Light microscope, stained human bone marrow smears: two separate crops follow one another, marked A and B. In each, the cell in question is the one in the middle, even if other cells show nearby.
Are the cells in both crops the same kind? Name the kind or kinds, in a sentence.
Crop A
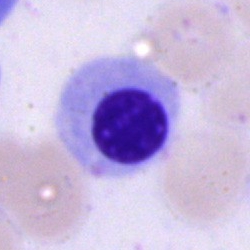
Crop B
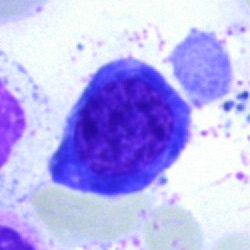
Yes, both crops show erythroblasts, each crop centred on one of them.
